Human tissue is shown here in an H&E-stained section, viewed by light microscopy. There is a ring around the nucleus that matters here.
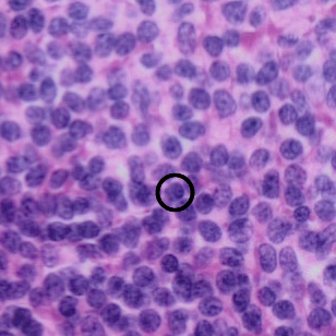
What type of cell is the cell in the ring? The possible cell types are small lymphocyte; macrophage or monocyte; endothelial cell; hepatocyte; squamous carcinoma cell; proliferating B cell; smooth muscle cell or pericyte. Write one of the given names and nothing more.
small lymphocyte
